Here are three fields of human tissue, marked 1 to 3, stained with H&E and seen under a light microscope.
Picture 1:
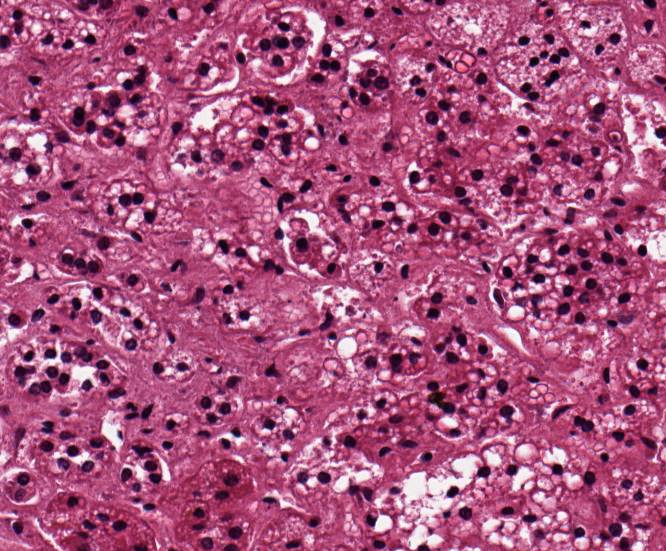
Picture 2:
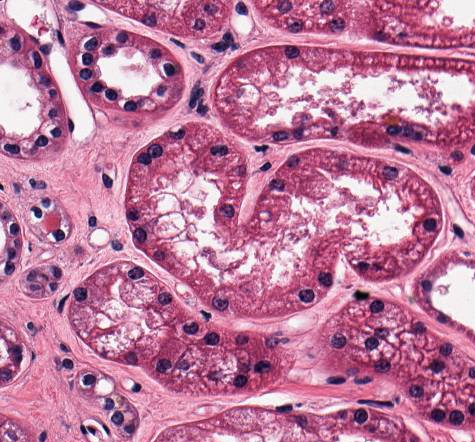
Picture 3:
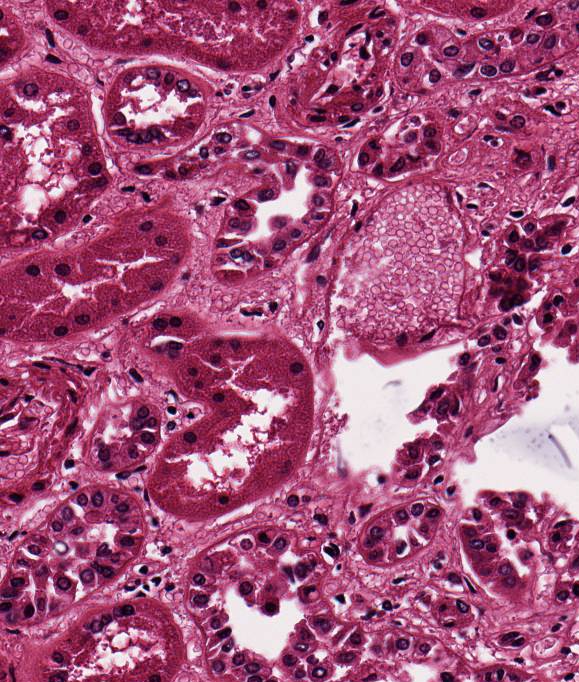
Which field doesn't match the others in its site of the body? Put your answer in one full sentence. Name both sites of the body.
Unlike the rest, which come from the renal cortex, picture 1 comes from the adrenal gland.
